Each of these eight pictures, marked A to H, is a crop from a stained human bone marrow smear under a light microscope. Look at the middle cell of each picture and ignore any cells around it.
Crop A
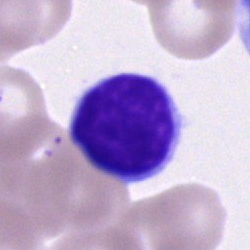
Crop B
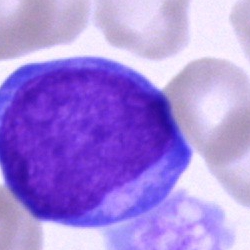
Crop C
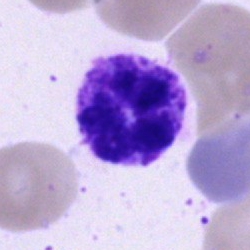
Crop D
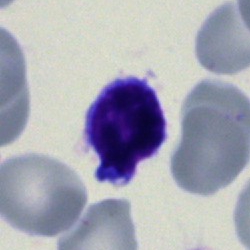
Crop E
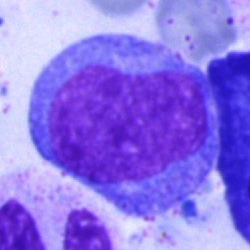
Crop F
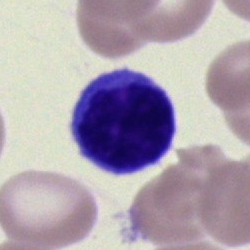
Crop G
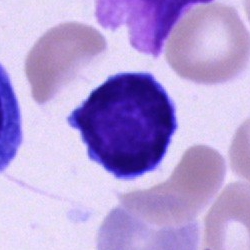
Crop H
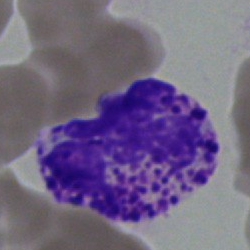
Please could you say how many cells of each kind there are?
lymphocyte: 4
blast: 2
basophil: 2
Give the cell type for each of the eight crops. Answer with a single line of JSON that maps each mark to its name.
{"A": "lymphocyte", "B": "blast", "C": "basophil", "D": "lymphocyte", "E": "blast", "F": "lymphocyte", "G": "lymphocyte", "H": "basophil"}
